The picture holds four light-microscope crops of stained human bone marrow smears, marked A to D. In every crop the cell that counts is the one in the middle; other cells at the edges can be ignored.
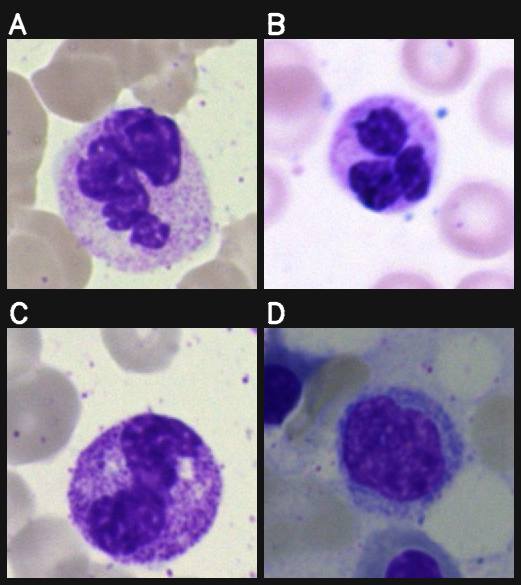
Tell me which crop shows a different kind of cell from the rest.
D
